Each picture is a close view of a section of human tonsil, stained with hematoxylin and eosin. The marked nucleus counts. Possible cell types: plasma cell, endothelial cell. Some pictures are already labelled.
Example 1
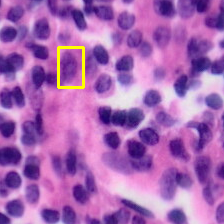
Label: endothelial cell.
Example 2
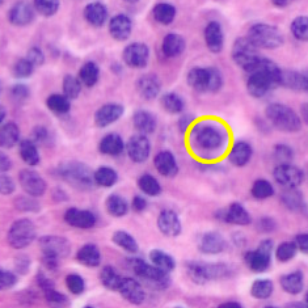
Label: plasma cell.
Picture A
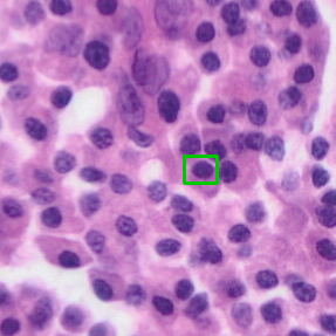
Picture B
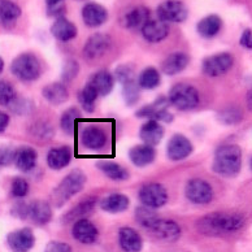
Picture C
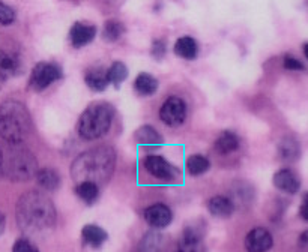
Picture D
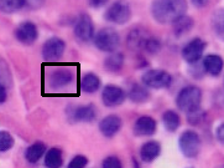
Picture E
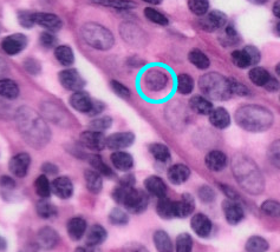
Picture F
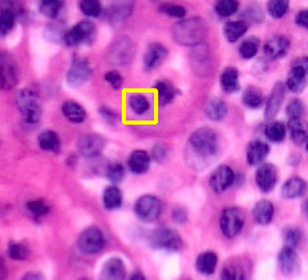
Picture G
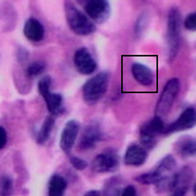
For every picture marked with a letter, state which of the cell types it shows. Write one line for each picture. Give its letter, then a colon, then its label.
A: plasma cell.
B: plasma cell.
C: plasma cell.
D: endothelial cell.
E: endothelial cell.
F: endothelial cell.
G: endothelial cell.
